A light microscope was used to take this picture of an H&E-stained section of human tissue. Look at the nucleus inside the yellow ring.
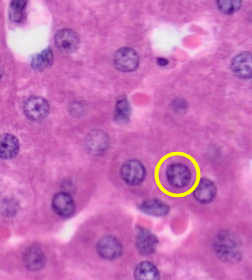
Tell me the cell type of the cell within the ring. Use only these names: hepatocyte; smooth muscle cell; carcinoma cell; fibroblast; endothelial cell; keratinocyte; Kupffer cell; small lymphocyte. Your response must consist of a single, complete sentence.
Cell type answer for this item: the cell within the ring is a hepatocyte.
